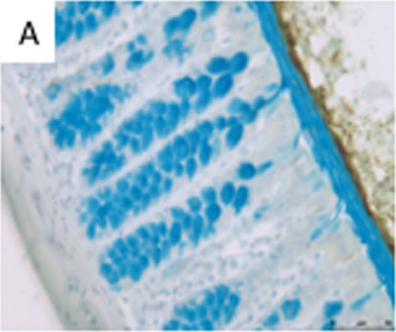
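This is a longitudinal section of colon in which straight crypts run side by side toward a flat luminal surface, packed with goblet cells. Each crypt holds a column of goblet cells whose large rounded mucin droplets stain a strong blue and lie stacked one above the other. Between the blue droplets the remaining epithelium and lamina propria are pale with faint nuclei. The luminal surface is covered by a thick continuous blue mucus layer, beyond which lies brownish fecal material. Little or no brown staining is seen within the epithelium.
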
